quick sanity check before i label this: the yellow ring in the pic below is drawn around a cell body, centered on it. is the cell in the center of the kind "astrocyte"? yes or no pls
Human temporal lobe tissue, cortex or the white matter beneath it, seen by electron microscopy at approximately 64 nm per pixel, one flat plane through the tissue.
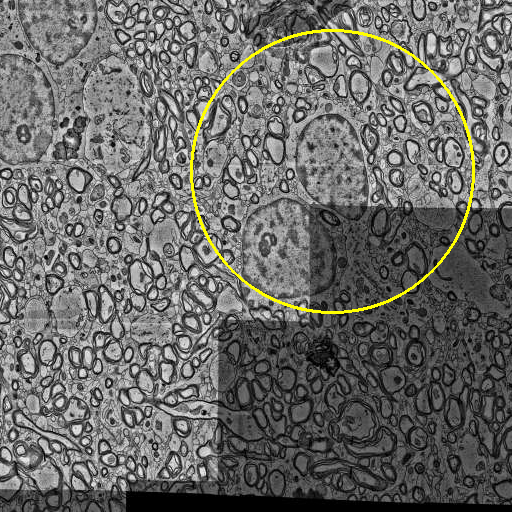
no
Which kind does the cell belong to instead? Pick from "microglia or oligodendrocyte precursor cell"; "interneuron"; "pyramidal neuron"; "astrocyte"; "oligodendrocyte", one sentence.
The ringed cell in this picture is, instead, a microglial cell or oligodendrocyte precursor cell.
